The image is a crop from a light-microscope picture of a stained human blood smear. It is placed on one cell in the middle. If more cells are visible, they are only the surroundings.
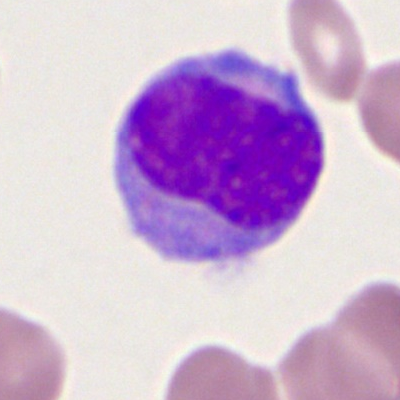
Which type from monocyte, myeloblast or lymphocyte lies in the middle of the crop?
monocyte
